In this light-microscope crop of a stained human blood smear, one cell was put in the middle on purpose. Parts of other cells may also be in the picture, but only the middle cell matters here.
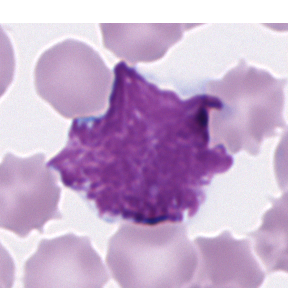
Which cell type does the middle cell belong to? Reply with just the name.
smudge cell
